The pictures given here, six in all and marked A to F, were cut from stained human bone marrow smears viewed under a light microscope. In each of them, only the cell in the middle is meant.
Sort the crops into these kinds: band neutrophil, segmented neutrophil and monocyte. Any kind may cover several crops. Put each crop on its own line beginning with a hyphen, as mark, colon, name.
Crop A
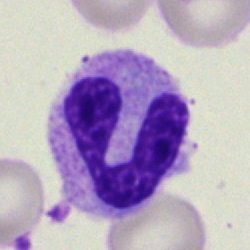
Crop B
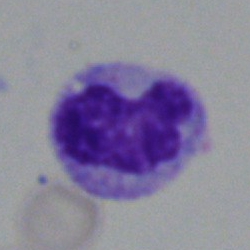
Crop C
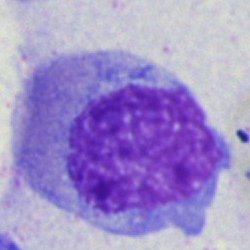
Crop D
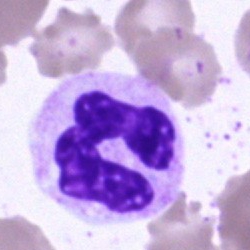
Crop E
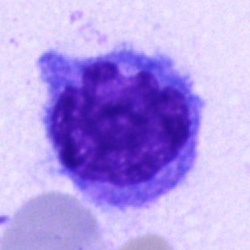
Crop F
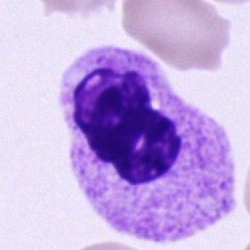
- A: segmented neutrophil
- B: monocyte
- C: monocyte
- D: segmented neutrophil
- E: monocyte
- F: segmented neutrophil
